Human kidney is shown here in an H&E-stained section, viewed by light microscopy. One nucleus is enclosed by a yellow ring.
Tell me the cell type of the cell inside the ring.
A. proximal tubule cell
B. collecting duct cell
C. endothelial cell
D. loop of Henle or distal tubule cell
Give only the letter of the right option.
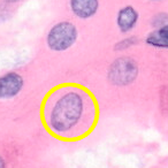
A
